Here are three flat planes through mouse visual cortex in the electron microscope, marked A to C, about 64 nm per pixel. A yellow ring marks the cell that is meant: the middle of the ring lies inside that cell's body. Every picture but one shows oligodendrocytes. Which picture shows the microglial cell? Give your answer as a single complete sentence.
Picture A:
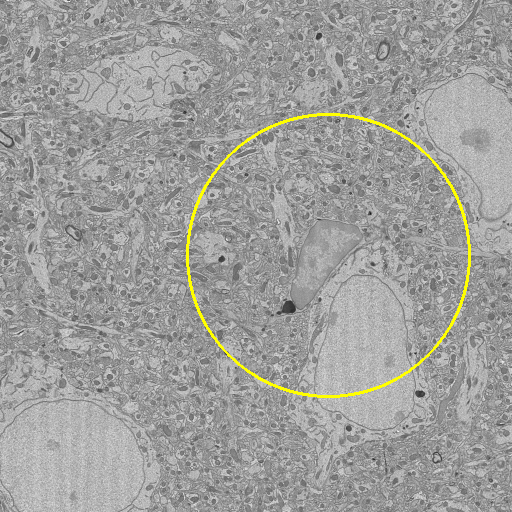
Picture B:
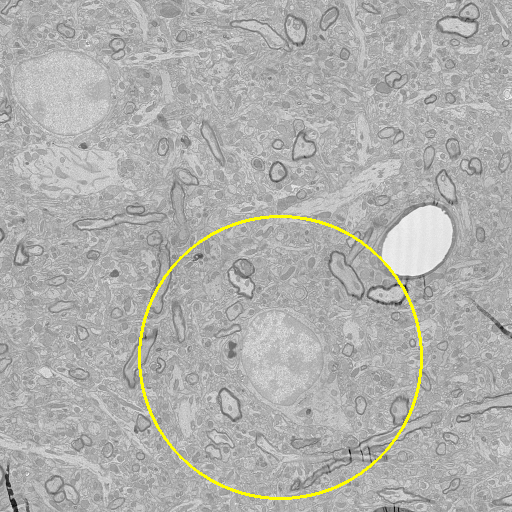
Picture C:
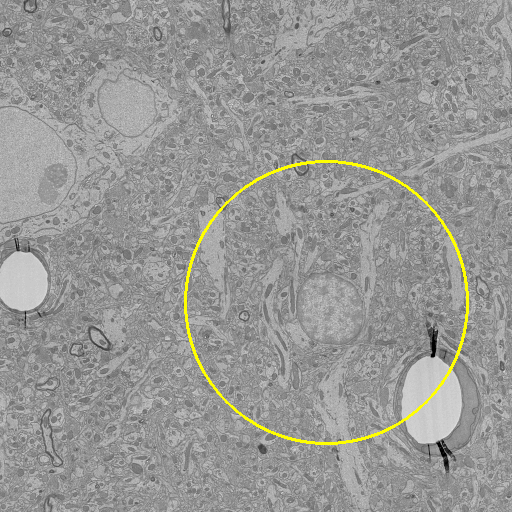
The cell in picture A is the microglial cell.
